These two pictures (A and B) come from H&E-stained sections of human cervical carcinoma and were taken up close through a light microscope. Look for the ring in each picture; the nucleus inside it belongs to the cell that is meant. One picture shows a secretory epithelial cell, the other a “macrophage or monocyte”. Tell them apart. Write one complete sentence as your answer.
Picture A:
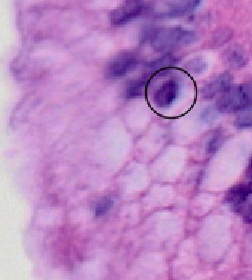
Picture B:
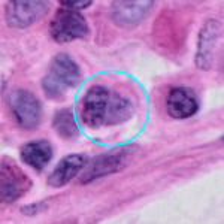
Picture A shows a secretory epithelial cell and picture B shows a “macrophage or monocyte”.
